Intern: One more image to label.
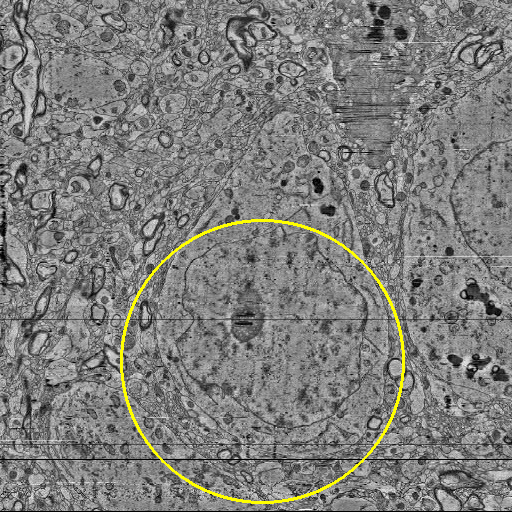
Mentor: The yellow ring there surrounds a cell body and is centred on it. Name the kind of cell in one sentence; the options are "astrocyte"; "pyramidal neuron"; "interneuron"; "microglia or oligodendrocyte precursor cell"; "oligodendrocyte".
The ring marks the cell body of an interneuron.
